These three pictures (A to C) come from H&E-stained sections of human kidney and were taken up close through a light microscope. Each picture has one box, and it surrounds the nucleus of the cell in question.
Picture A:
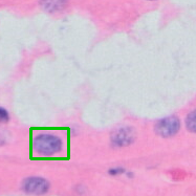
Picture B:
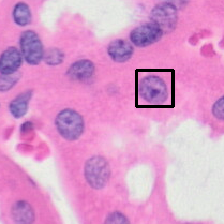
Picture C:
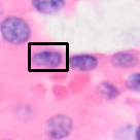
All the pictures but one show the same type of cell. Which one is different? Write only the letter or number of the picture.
B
